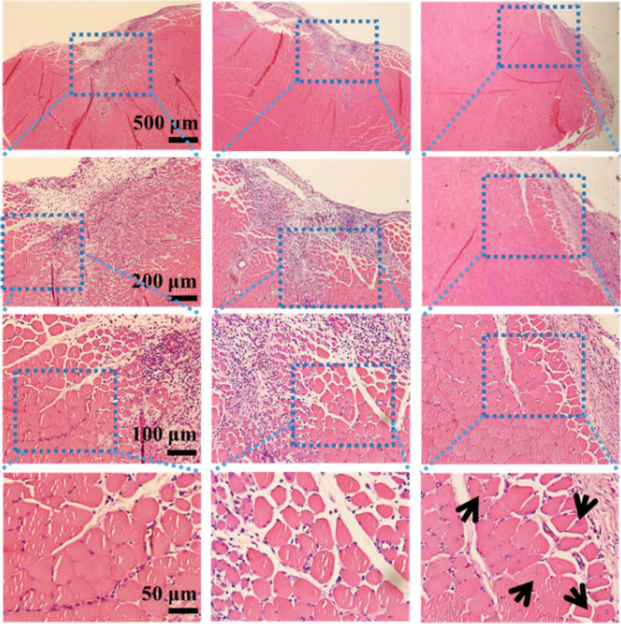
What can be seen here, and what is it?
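Skeletal muscle tissue is shown in cross-section at increasing magnification, with pink, polygonal muscle fibres packed in bundles and separated by pale interstitial spaces. At the surface of the tissue in some columns, there are dense accumulations of small purple nuclei between and around the fibres. At the highest magnification, individual fibres vary in size, and small dark purple nuclei lie at their edges and in the spaces between them.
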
